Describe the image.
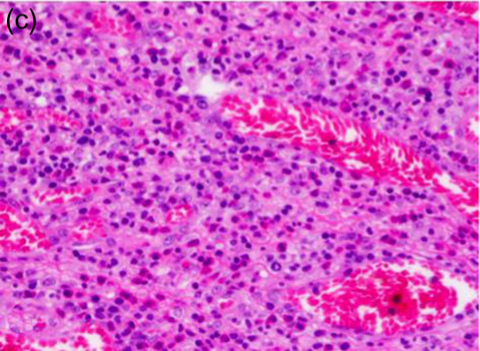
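Lesional tissue densely infiltrated by eosinophils and other inflammatory cells. The cells lie in crowded sheets with small, dark, round to lobed nuclei. Many of them have bright pink cytoplasm. Elongated vessels distended with red blood cells run through the infiltrate. No epithelium is seen in the field.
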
